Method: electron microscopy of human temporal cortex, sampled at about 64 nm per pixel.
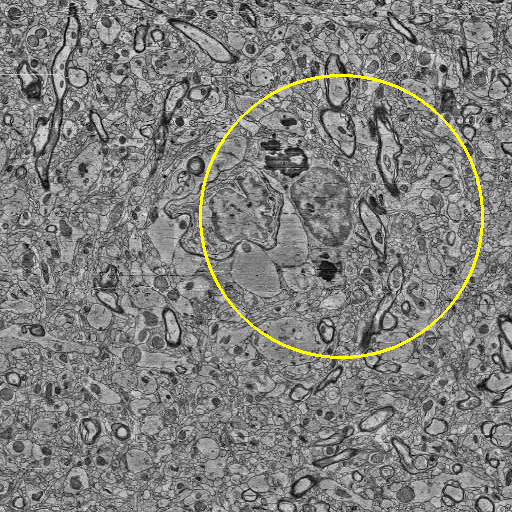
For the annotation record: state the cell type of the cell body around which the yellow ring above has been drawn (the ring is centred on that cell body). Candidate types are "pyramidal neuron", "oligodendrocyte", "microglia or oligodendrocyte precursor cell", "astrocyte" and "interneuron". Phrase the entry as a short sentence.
The ringed cell is an oligodendrocyte.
